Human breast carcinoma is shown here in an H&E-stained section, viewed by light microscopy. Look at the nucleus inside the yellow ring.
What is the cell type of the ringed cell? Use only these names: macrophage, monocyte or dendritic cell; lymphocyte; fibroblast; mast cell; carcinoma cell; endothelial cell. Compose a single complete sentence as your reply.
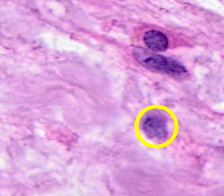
In this preparation, the ringed cell is a macrophage, monocyte or dendritic cell.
